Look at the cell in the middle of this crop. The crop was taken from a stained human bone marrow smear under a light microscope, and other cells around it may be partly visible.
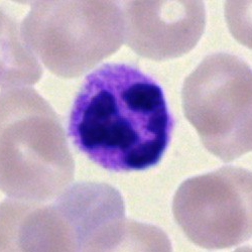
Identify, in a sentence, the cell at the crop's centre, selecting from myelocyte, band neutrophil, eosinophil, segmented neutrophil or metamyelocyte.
In the center of this field lies a segmented neutrophil.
